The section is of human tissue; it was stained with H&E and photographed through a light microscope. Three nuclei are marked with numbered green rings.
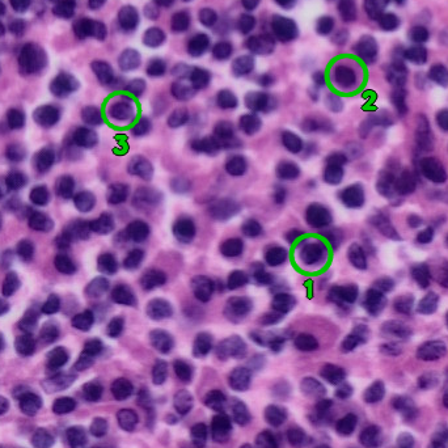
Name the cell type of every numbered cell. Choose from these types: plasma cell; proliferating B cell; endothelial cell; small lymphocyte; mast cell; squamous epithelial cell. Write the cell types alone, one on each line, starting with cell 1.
small lymphocyte
plasma cell
small lymphocyte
